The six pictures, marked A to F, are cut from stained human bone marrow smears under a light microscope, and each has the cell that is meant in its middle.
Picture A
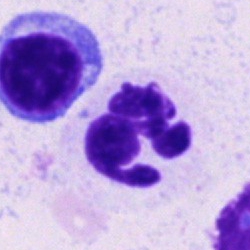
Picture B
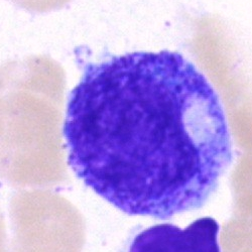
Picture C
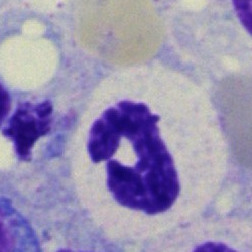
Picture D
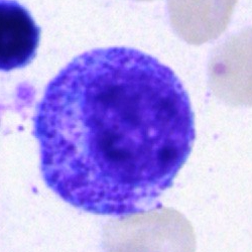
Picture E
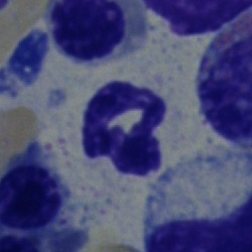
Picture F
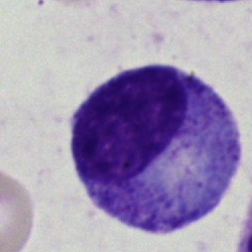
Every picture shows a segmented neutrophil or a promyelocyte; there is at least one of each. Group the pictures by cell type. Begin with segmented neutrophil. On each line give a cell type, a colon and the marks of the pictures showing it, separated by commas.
segmented neutrophil: A, C, E
promyelocyte: B, D, F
